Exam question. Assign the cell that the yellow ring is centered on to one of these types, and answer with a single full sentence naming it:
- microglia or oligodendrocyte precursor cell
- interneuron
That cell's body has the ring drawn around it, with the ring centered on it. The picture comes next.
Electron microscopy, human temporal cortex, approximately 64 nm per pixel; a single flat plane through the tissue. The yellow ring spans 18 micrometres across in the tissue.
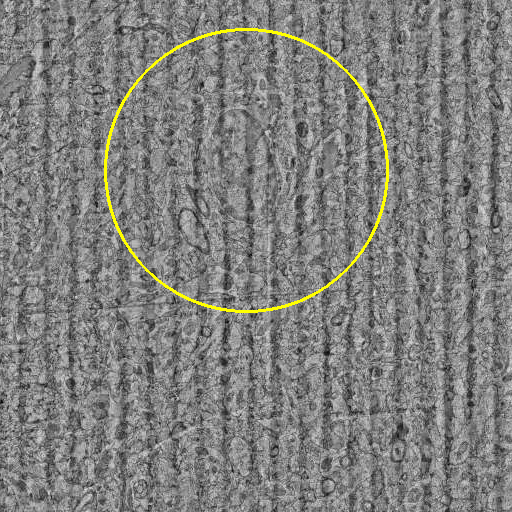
In the micrograph, the cell the yellow ring is centered on is a microglial cell or oligodendrocyte precursor cell.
